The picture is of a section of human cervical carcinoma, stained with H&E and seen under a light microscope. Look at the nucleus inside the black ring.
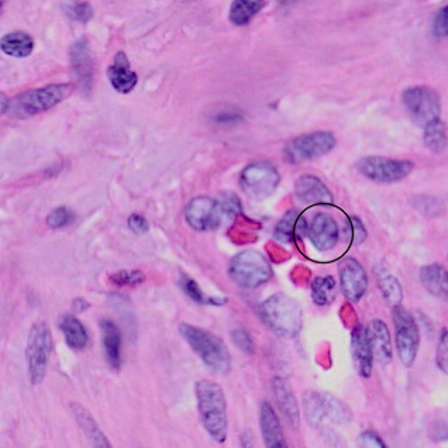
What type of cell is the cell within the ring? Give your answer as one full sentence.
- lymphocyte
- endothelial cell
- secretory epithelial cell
Considered by cell type, the cell within the ring is an endothelial cell.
